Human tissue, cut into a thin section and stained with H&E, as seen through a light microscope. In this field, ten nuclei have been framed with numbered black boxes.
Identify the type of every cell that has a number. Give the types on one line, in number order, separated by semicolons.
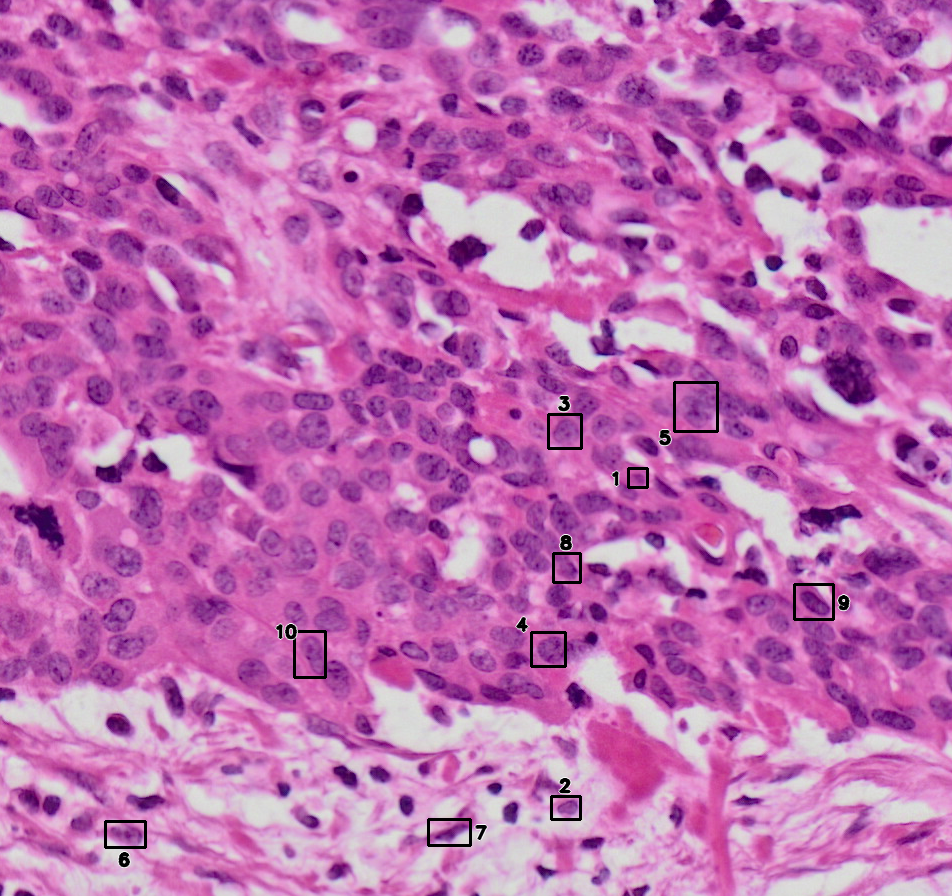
macrophage or monocyte; macrophage or monocyte; carcinoma cell; carcinoma cell; carcinoma cell; fibroblast; fibroblast; carcinoma cell; carcinoma cell; carcinoma cell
